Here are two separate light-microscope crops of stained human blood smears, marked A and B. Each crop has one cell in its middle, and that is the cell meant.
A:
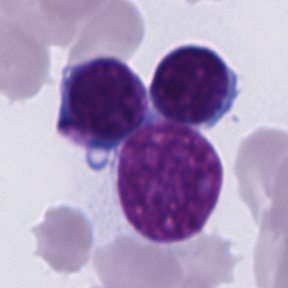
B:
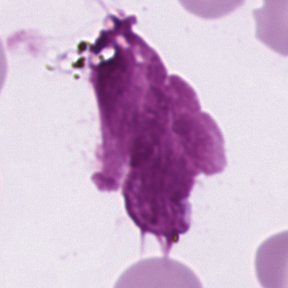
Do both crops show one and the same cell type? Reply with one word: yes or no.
no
